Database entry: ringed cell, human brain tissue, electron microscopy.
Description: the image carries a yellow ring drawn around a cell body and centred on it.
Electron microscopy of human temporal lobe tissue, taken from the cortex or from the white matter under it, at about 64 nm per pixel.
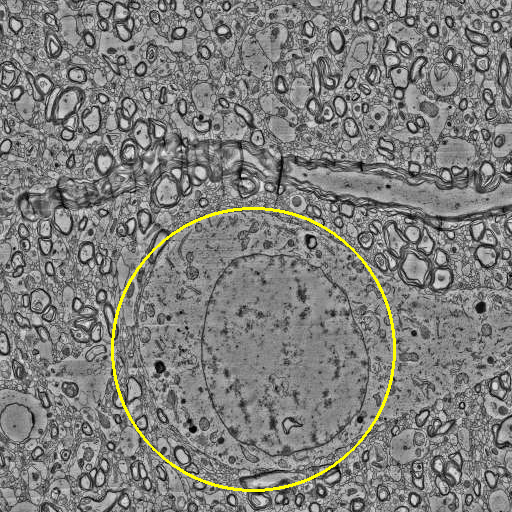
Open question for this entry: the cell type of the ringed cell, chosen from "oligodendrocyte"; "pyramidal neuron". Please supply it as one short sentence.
The ringed cell is a pyramidal neuron.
